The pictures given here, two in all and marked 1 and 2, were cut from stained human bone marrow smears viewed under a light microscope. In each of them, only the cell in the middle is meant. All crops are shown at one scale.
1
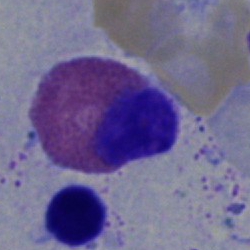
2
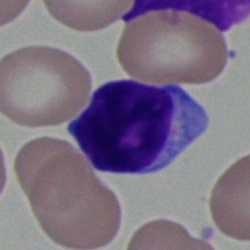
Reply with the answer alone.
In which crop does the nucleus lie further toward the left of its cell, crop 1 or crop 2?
2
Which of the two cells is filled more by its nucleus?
2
